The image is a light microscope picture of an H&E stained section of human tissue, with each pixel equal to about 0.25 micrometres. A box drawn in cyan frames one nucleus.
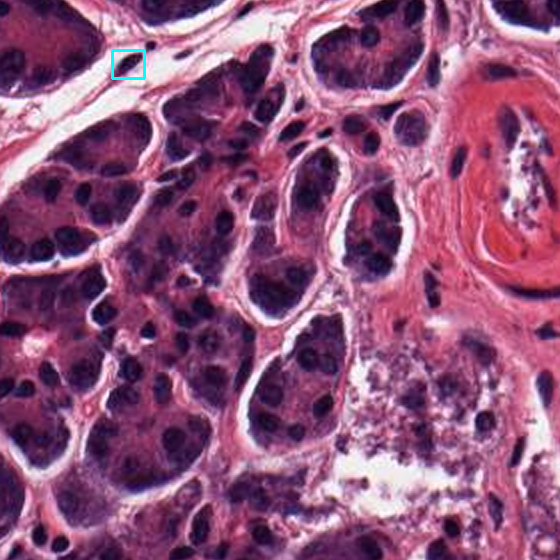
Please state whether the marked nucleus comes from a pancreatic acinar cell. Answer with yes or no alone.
no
